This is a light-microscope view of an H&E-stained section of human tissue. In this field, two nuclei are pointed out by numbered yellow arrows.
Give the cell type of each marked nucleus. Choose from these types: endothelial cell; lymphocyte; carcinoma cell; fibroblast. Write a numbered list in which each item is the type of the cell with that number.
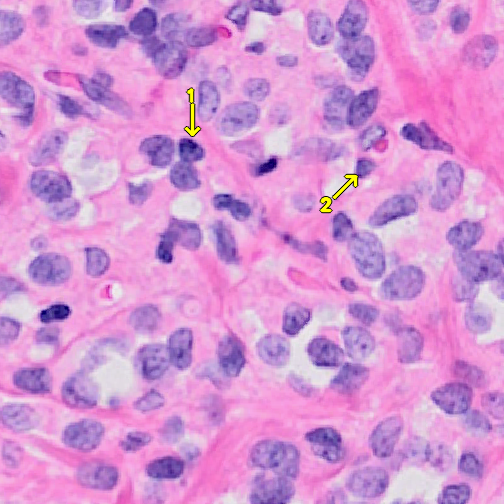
1. lymphocyte
2. endothelial cell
